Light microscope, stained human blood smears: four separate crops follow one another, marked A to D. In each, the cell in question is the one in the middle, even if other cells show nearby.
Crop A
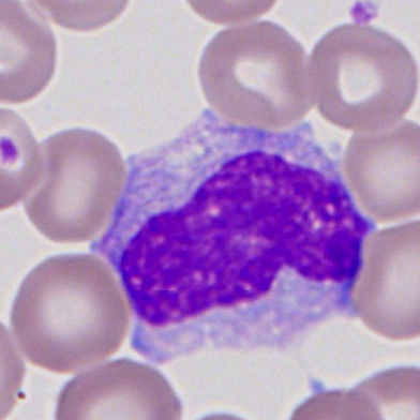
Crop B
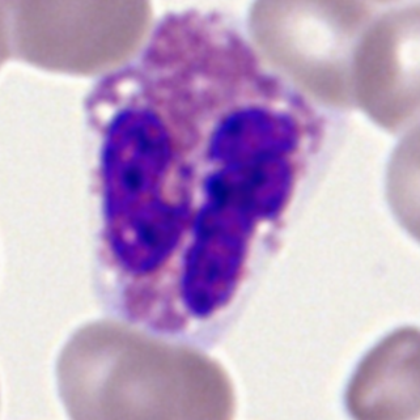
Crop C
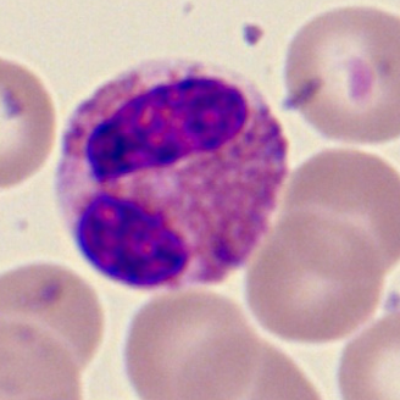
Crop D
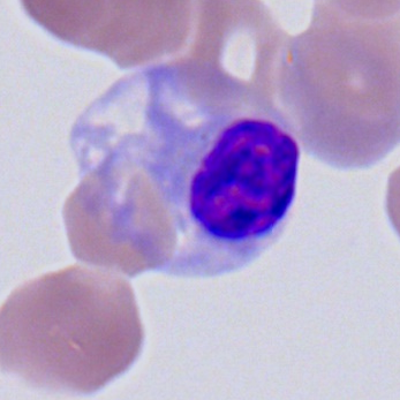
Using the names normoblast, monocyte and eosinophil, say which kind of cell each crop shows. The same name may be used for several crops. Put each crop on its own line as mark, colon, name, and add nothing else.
A: monocyte
B: eosinophil
C: eosinophil
D: normoblast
